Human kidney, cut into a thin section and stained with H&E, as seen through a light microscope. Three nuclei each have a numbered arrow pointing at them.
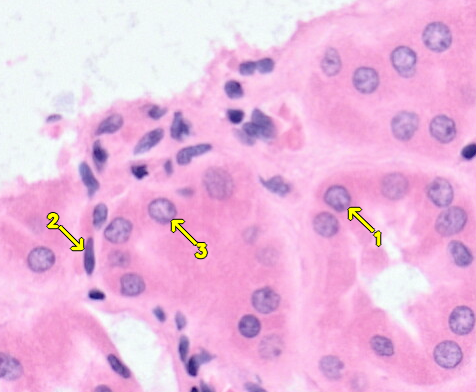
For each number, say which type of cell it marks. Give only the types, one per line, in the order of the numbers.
proximal tubule cell
endothelial cell
proximal tubule cell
